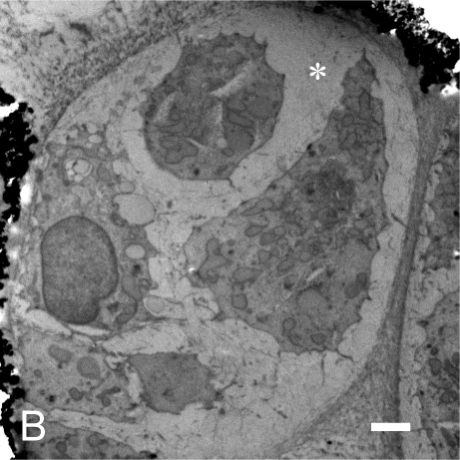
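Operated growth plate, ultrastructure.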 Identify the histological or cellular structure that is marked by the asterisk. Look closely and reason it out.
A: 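Homogenous matrix. The asterisk lies on a pale, even, almost structureless zone. This pale zone surrounds the cells inside the lacuna.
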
